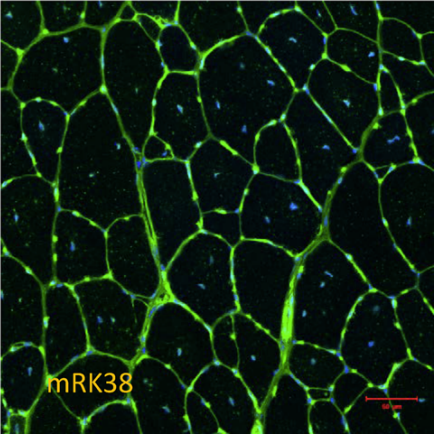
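Here skeletal muscle is seen in cross-section, with the muscle fibers appearing as dark, rounded-polygonal profiles each outlined in green. The fibers fit tightly together, separated only by the thin green borders, which thicken in a few places between groups of fibers. Small blue nuclei sit along the fiber edges.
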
